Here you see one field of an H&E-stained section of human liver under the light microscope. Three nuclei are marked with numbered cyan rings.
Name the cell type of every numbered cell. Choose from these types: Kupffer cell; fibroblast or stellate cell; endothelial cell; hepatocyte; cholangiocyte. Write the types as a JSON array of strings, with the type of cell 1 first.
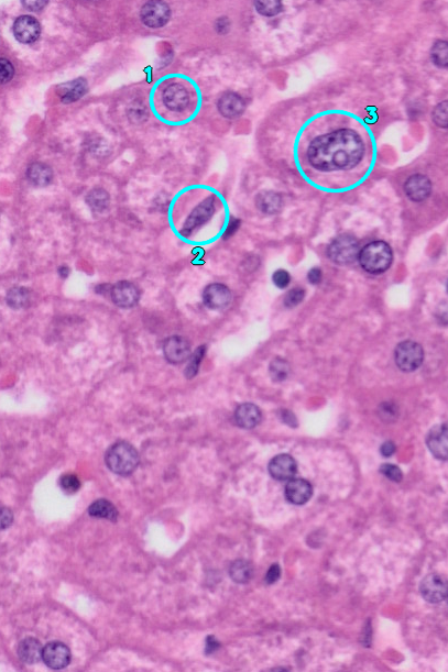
["hepatocyte", "Kupffer cell", "hepatocyte"]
